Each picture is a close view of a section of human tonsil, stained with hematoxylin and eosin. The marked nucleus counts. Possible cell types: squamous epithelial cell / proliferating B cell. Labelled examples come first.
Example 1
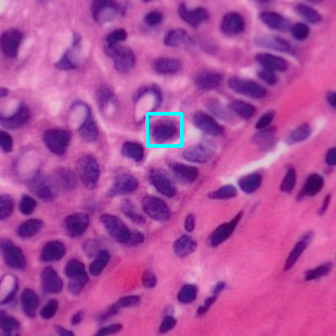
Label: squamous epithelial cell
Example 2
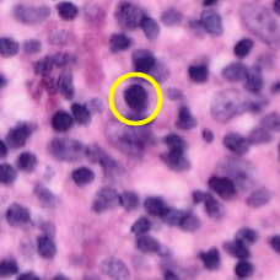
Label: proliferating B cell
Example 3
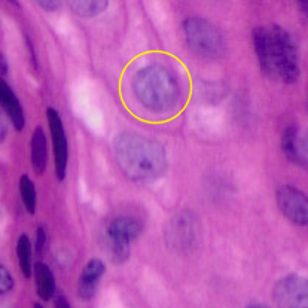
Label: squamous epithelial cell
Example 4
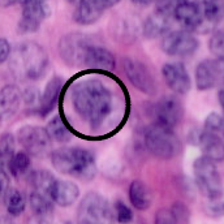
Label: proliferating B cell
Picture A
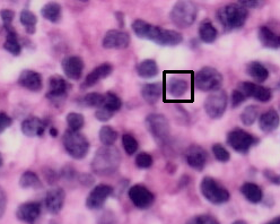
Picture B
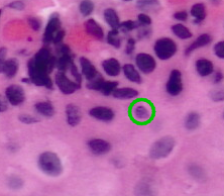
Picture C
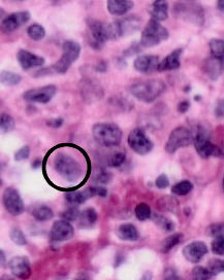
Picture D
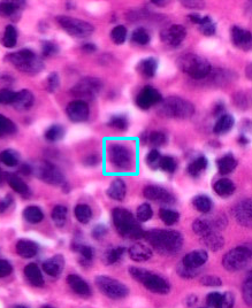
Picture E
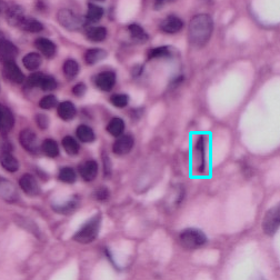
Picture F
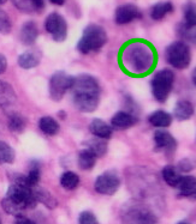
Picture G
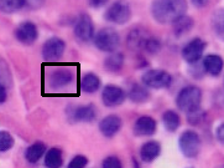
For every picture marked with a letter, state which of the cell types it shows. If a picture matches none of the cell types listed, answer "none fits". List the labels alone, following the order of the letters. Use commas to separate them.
proliferating B cell, squamous epithelial cell, proliferating B cell, squamous epithelial cell, squamous epithelial cell, proliferating B cell, none fits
